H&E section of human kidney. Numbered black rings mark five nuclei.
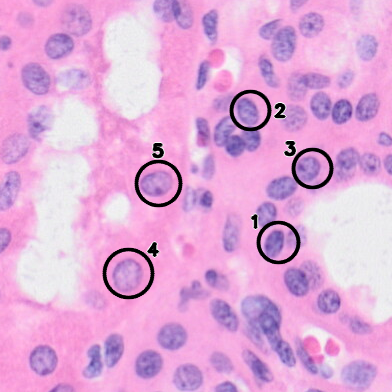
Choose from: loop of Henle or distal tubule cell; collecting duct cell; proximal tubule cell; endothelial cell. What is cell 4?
proximal tubule cell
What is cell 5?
proximal tubule cell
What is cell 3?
collecting duct cell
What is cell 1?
collecting duct cell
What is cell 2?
collecting duct cell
